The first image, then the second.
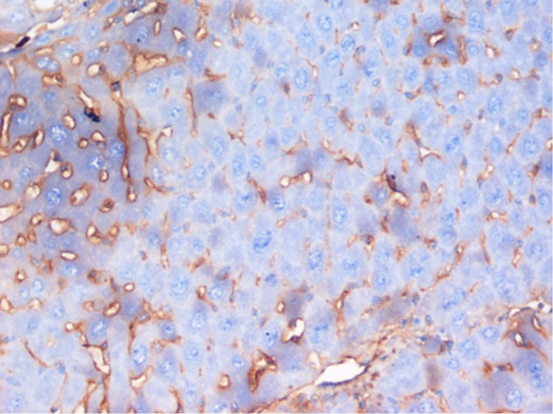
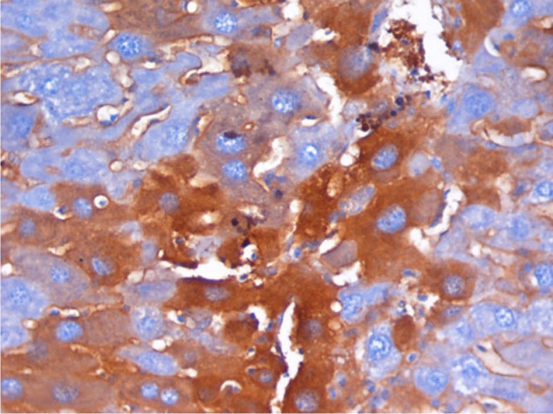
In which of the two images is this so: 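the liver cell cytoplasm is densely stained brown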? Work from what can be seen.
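Second image: broad patches of polygonal liver cells have deep brown cytoplasm. First image: brown stain is confined mainly to thin channels between cells, whose cytoplasm stays pale blue.
The second image.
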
